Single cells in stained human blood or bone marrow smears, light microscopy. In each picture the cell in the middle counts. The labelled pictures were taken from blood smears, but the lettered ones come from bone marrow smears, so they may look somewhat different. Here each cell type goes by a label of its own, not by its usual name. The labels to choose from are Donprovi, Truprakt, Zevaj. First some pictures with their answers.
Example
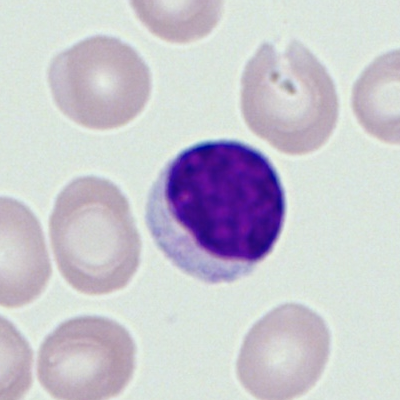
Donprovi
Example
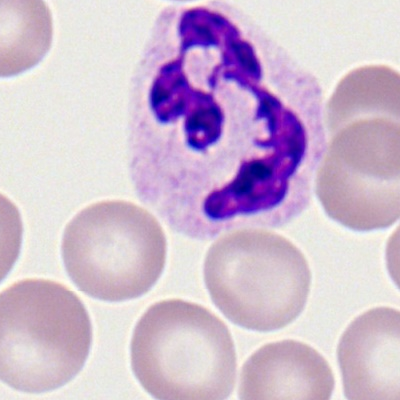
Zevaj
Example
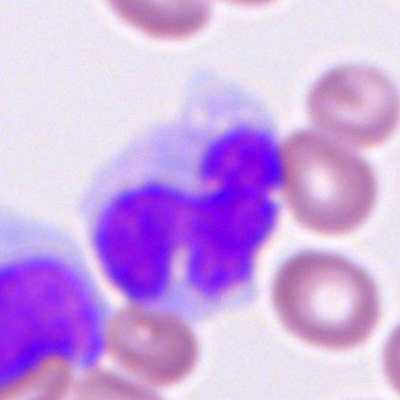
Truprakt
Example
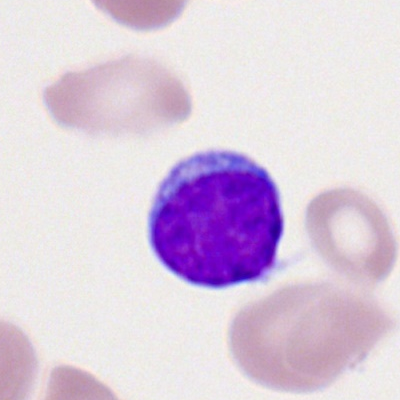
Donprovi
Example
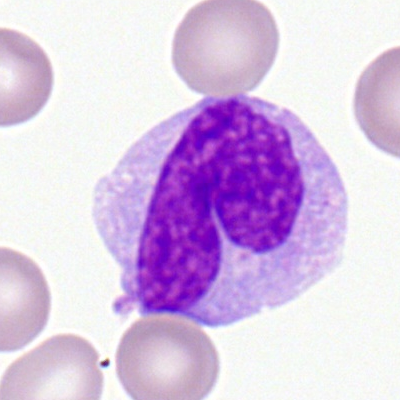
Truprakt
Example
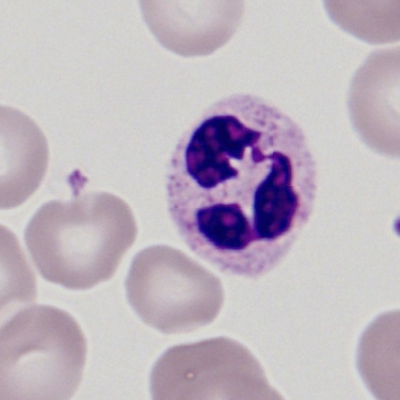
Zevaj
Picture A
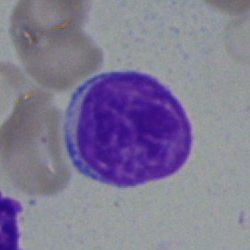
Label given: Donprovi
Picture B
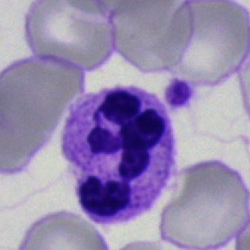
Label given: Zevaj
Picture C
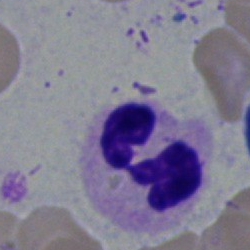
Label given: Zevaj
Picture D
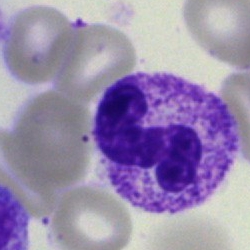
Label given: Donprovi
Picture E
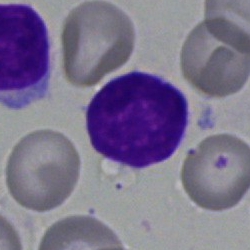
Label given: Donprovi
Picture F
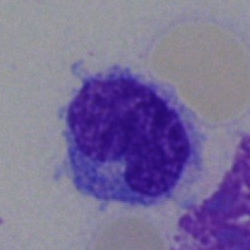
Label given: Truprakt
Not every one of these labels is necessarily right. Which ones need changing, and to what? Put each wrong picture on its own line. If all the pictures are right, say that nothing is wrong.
D is labelled Donprovi; correct label: Zevaj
